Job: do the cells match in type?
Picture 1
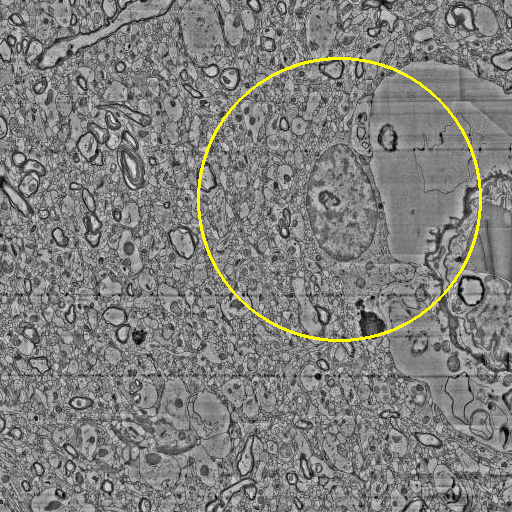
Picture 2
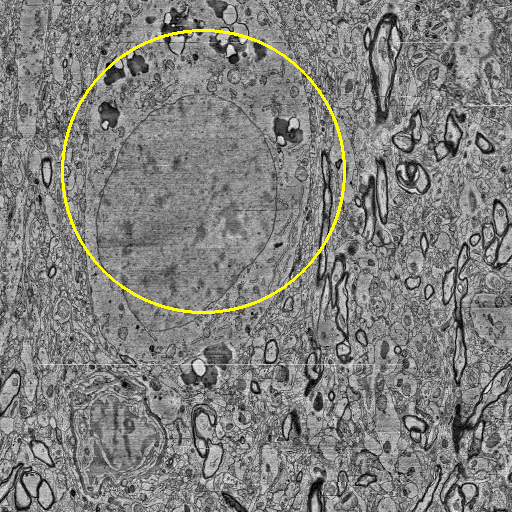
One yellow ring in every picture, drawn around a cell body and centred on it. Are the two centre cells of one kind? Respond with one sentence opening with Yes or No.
No, the ringed cells in the two pictures are of two separate kinds.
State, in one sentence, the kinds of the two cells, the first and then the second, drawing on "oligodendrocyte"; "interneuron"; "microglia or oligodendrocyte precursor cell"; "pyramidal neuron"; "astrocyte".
The ring in the second picture is centred on a pyramidal neuron, the ring in the first on an oligodendrocyte.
